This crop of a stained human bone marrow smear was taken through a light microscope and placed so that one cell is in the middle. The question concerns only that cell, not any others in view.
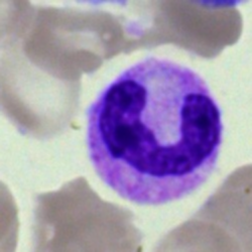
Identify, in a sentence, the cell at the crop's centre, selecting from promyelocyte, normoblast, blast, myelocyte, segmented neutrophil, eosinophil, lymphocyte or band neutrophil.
The middle of this crop holds a band neutrophil.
